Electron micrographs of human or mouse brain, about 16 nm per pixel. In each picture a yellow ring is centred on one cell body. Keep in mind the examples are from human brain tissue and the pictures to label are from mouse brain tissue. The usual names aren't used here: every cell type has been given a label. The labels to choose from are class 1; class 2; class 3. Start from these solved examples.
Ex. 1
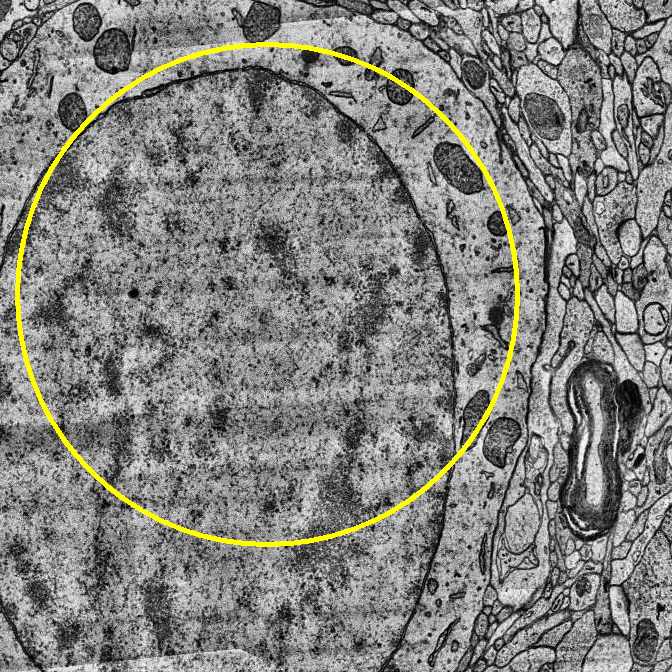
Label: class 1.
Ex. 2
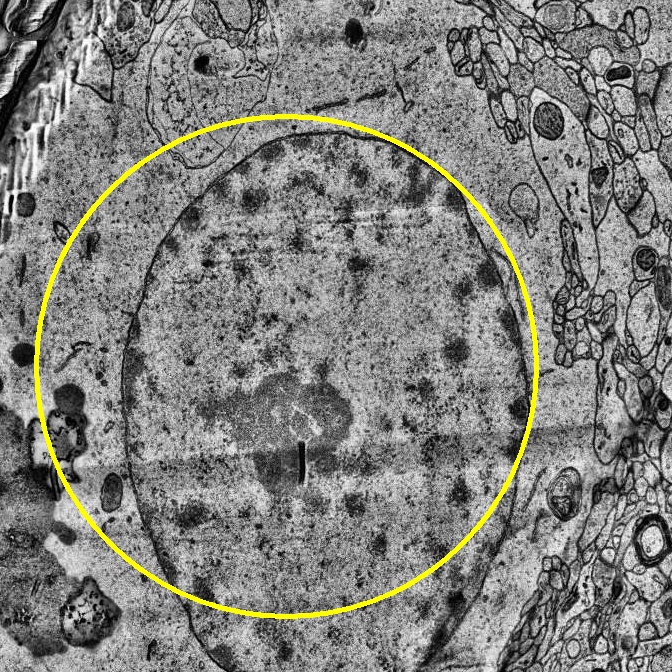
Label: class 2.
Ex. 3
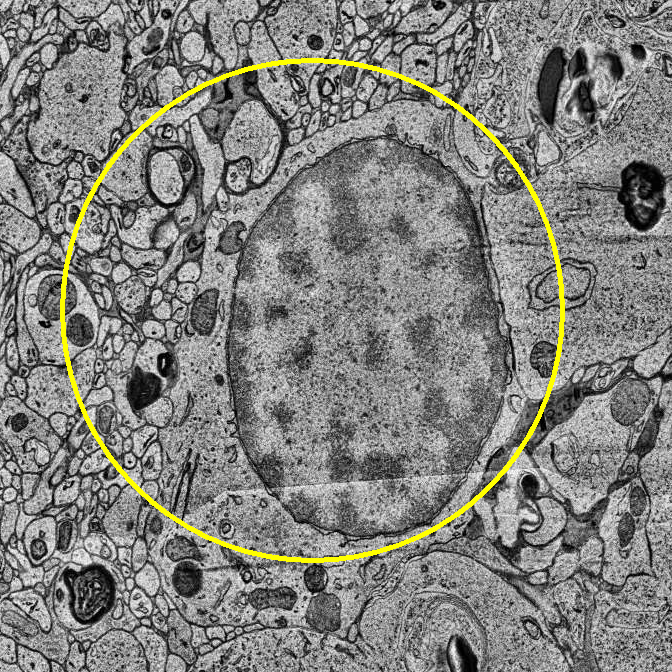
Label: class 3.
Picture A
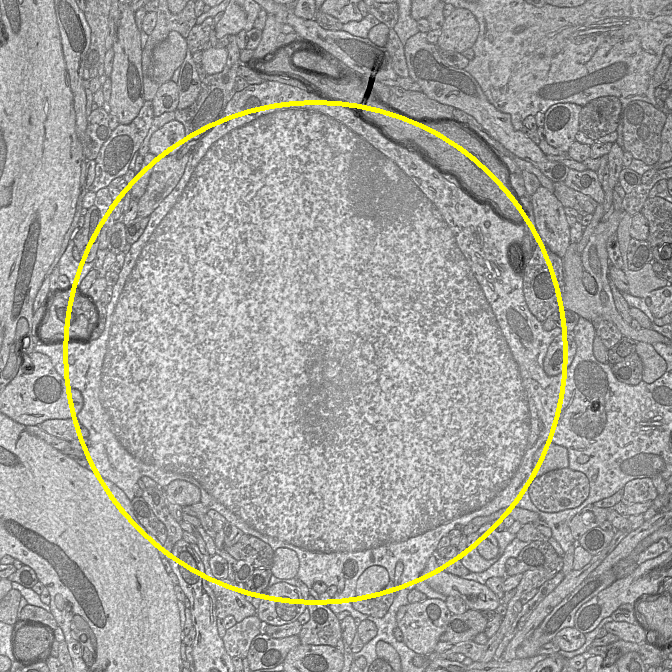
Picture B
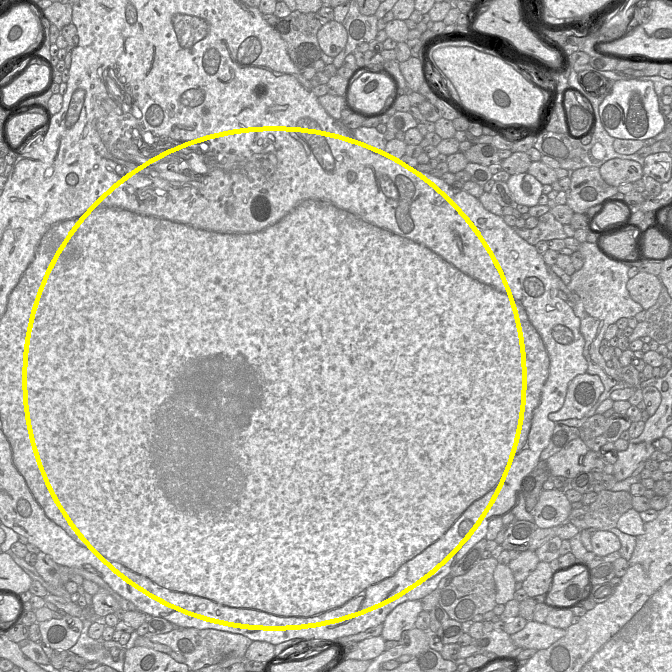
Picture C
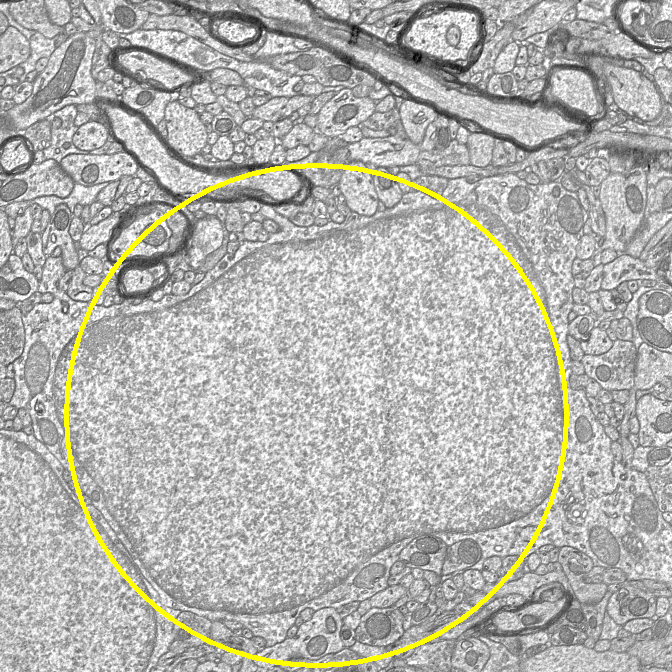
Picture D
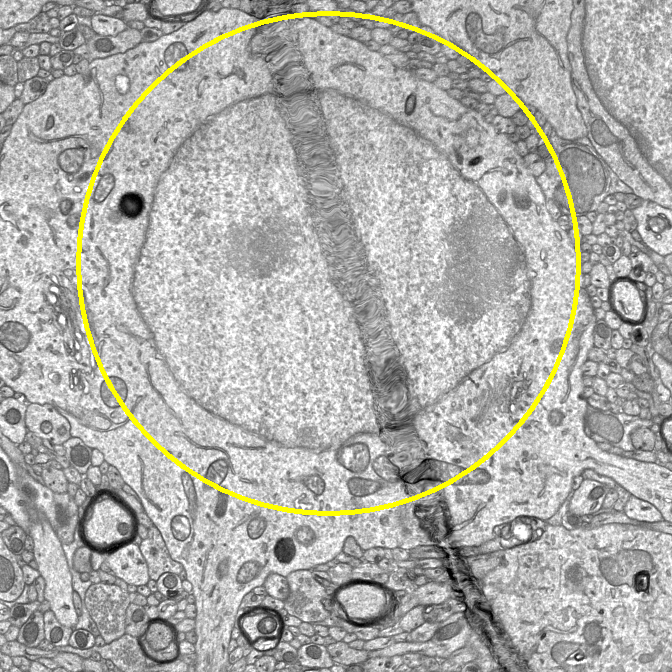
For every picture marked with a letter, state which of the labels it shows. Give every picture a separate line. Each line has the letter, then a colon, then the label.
A: class 2.
B: class 1.
C: class 2.
D: class 1.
